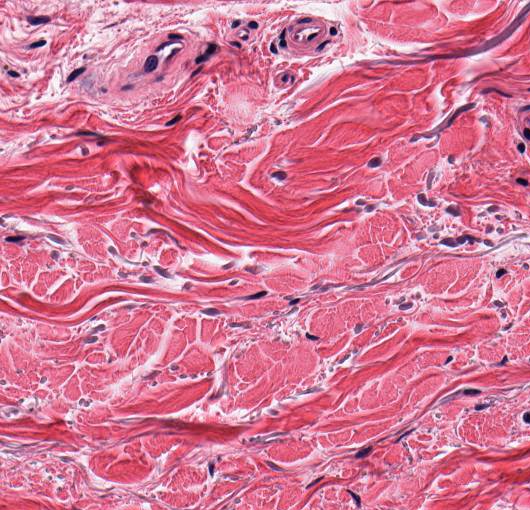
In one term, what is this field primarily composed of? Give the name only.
dermis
